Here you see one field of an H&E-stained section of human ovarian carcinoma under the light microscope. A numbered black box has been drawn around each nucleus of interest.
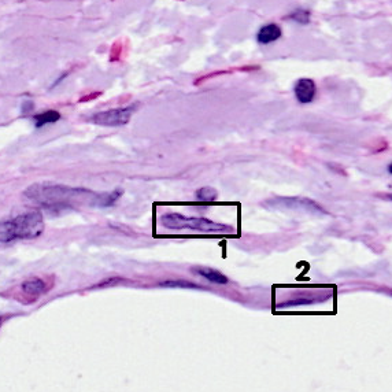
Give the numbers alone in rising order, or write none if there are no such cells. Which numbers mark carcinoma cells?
none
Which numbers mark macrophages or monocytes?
1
